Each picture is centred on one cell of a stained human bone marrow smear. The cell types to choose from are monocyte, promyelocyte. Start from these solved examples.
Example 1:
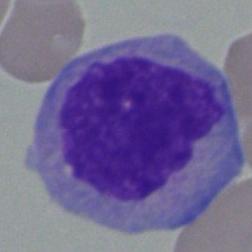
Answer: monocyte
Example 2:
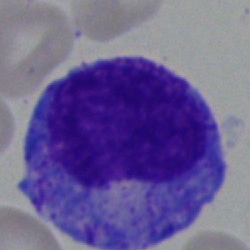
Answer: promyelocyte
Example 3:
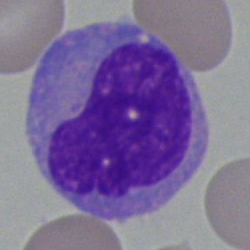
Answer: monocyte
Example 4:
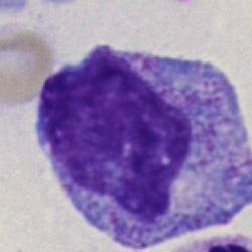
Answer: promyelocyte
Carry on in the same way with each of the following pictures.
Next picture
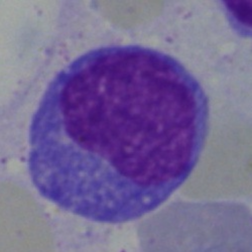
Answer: promyelocyte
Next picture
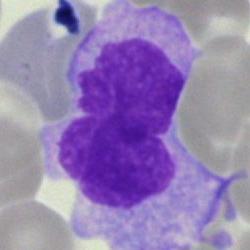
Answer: monocyte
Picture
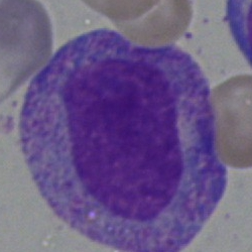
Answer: promyelocyte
